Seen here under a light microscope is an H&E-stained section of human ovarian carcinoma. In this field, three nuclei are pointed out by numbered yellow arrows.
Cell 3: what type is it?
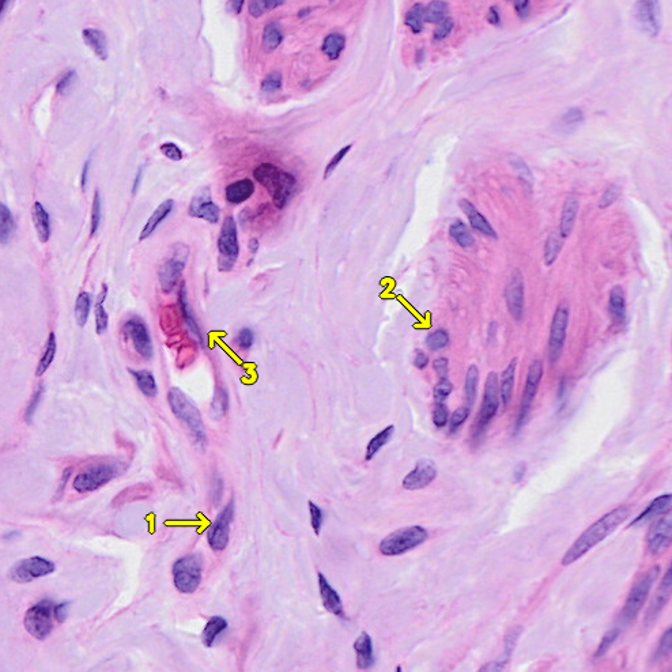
endothelial cell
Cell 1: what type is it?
endothelial cell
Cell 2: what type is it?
smooth muscle cell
